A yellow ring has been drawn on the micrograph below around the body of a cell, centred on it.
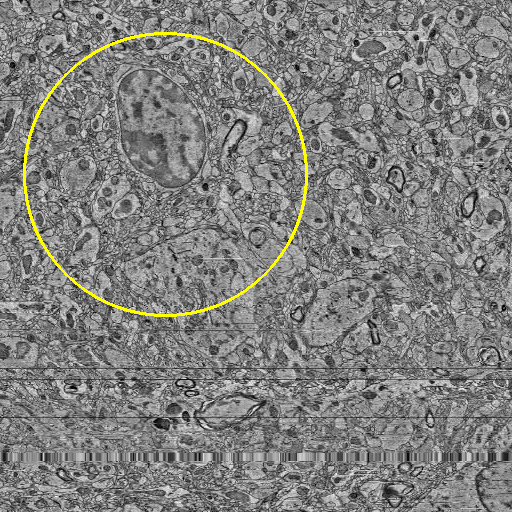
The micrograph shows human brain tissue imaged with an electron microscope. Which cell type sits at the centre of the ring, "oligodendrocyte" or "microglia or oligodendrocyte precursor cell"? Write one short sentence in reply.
The cell sitting at the centre of the ring is a microglial cell or oligodendrocyte precursor cell.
